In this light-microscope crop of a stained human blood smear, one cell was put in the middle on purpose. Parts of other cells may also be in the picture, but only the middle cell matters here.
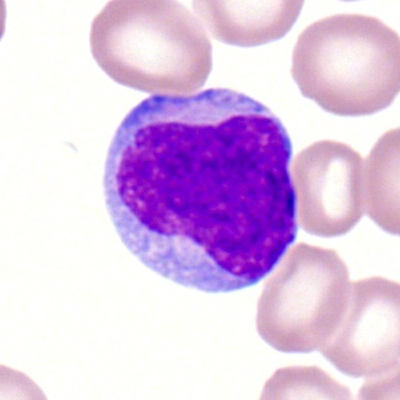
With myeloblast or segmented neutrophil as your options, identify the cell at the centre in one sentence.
The cell the crop is centered on is a myeloblast.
